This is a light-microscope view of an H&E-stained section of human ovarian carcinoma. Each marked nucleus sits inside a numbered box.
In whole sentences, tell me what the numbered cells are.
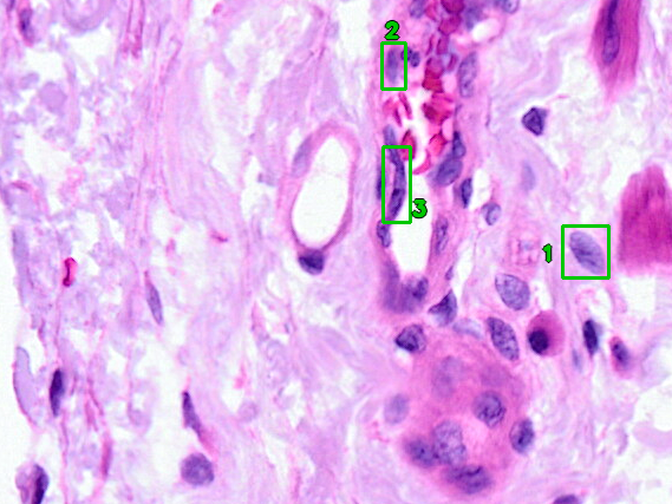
Cell 1 is a fibroblast. Cells 2 and 3 are endothelial cells.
